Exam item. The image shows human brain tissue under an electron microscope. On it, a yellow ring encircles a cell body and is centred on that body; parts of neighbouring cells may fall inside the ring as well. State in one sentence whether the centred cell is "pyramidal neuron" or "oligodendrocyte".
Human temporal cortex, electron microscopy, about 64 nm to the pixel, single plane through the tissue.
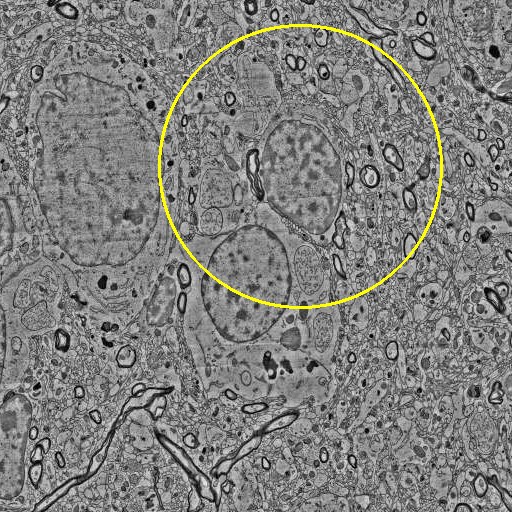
The cell body centred in the ring is an oligodendrocyte.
